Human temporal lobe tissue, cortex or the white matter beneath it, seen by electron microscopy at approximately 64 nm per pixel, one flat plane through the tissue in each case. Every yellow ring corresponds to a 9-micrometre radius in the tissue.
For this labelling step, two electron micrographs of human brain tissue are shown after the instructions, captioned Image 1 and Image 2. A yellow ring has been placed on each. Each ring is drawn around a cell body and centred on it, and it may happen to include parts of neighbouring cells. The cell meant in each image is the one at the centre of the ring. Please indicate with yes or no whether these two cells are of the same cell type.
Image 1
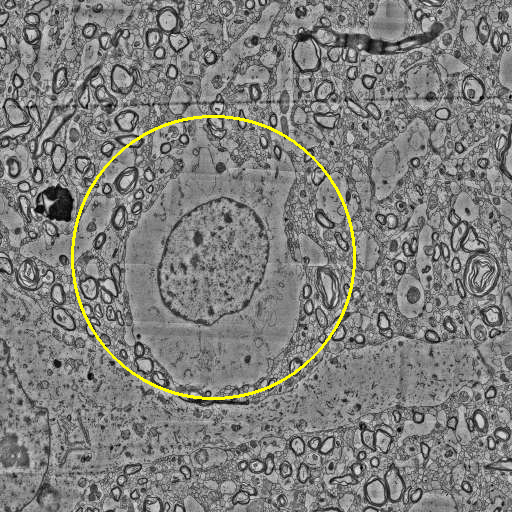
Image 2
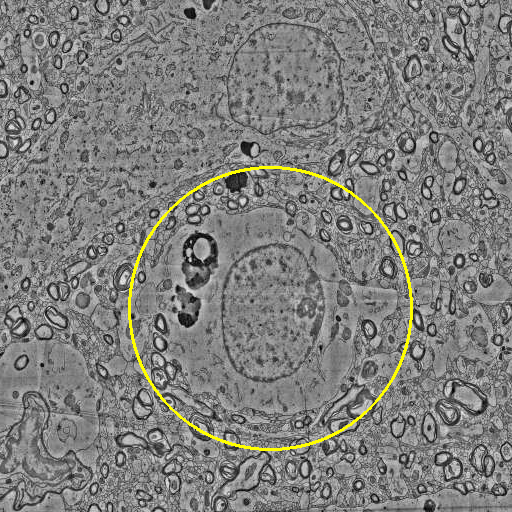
yes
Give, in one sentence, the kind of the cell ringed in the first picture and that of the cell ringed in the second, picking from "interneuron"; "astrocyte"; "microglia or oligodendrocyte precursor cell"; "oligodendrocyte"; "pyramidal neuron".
Each cell at the centre of a ring is an astrocyte.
